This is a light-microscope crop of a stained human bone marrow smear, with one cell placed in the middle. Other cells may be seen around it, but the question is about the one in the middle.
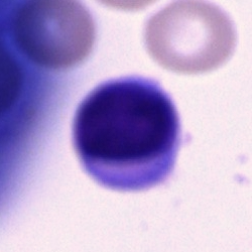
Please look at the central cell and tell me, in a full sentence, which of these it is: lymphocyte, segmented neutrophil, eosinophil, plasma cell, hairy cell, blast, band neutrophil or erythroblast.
At the crop's centre, the cell is a lymphocyte.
